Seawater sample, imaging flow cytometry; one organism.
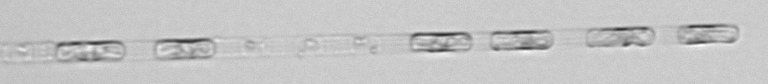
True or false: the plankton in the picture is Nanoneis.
False; it is Skeletonema.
